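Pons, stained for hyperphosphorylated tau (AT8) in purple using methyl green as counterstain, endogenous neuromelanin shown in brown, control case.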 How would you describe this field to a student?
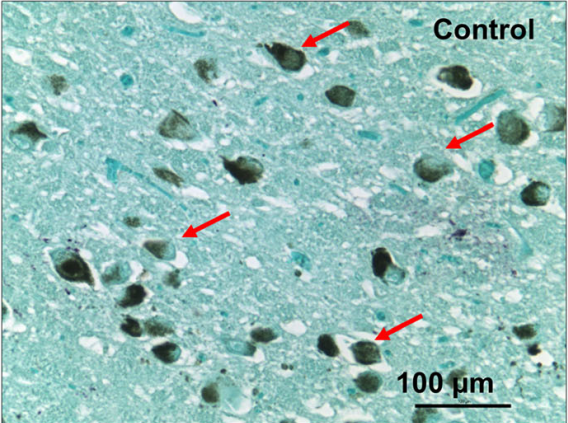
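Large neurons lie scattered singly and in small clusters within a pale blue-green, finely textured neuropil. Their cell bodies are round to polygonal and filled with dark brown to greenish granular pigment, some with a paler region where the nucleus sits, and many are surrounded by a thin clear halo. No dense purple deposits fill these cells.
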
